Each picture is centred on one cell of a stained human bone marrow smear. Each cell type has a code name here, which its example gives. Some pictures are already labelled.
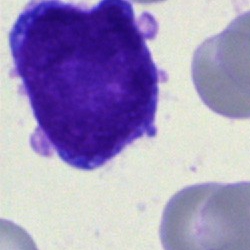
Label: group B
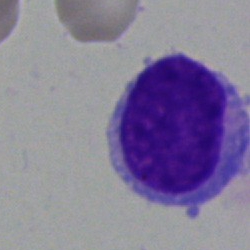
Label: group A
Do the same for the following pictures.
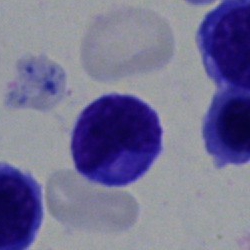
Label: group A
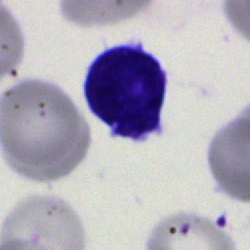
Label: group B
